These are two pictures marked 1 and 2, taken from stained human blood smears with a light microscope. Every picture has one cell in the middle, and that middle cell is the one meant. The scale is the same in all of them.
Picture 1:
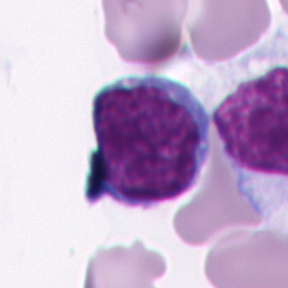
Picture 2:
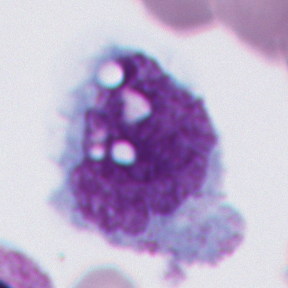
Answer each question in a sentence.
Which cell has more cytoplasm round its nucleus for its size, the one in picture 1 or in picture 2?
The nucleus fills less of the cell in picture 2 than in picture 1.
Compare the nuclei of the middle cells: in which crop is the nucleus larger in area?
It is the nucleus in picture 2, about 1.5 times as large in area as the one in picture 1.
